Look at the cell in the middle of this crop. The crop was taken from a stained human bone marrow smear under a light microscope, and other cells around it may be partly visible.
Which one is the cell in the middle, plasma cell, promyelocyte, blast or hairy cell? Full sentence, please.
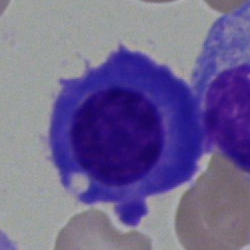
Standing at the centre of this crop is a plasma cell.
